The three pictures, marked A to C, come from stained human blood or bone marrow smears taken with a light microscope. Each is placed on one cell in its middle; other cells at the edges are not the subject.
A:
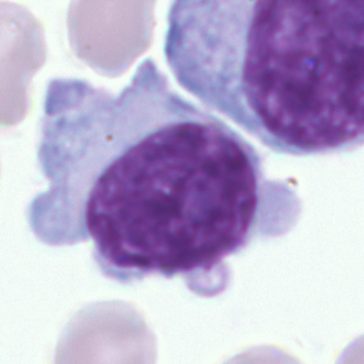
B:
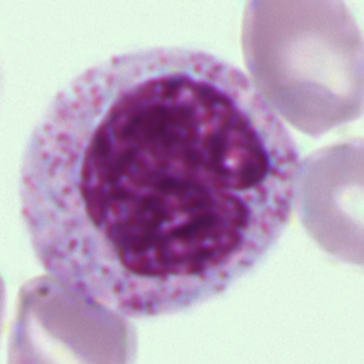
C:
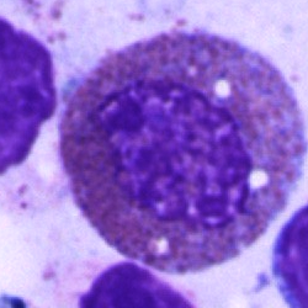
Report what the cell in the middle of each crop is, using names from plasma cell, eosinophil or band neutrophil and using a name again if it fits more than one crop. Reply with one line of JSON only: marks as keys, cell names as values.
{"A": "plasma cell", "B": "band neutrophil", "C": "eosinophil"}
